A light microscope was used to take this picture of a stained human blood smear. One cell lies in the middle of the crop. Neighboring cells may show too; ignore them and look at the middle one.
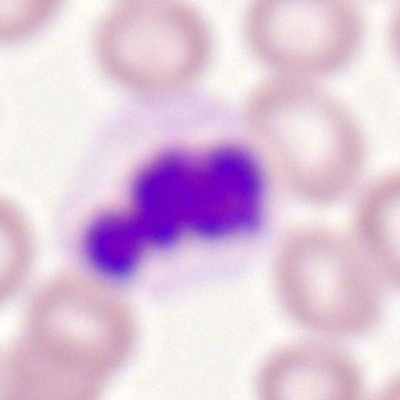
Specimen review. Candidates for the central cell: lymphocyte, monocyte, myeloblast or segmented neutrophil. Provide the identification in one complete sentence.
The cell positioned in the middle of the field is a segmented neutrophil.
